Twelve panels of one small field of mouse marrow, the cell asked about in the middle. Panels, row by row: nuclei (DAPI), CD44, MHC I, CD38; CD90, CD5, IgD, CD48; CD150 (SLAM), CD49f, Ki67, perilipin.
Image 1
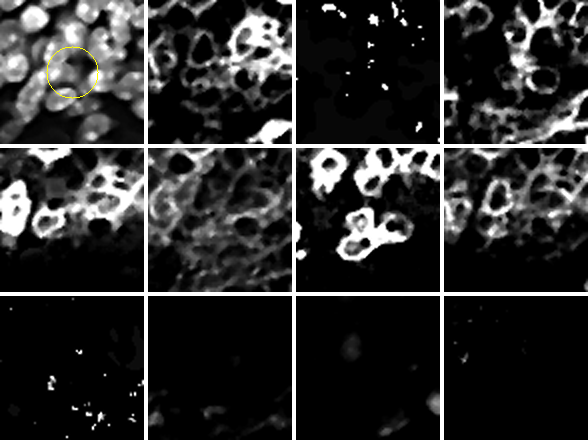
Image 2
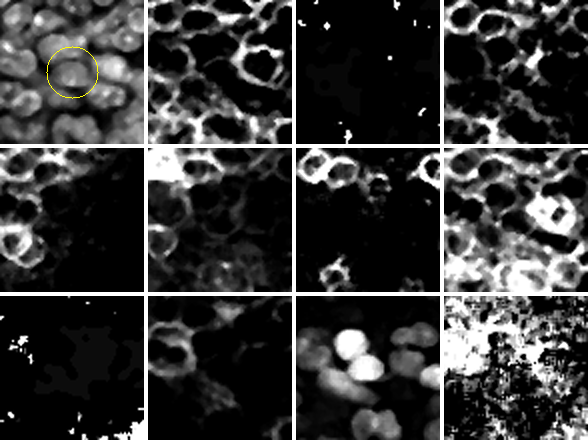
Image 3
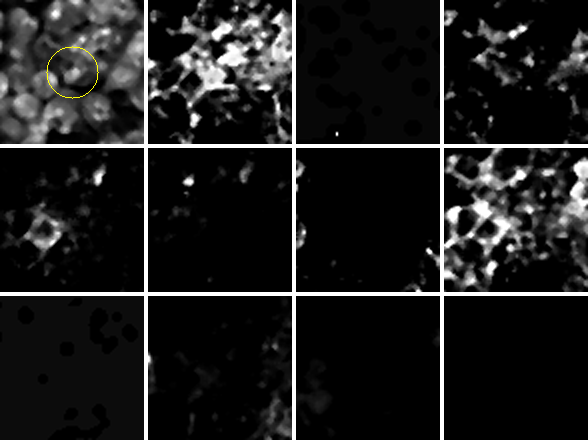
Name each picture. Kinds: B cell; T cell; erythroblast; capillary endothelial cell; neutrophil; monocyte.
(1) B cell
(2) erythroblast
(3) neutrophil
